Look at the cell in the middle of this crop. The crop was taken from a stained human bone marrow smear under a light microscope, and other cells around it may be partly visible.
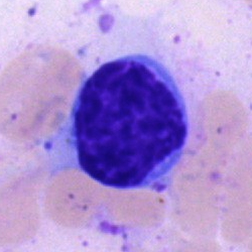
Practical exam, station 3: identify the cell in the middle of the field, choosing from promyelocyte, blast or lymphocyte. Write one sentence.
The cell marked by its central position in the crop is a lymphocyte.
